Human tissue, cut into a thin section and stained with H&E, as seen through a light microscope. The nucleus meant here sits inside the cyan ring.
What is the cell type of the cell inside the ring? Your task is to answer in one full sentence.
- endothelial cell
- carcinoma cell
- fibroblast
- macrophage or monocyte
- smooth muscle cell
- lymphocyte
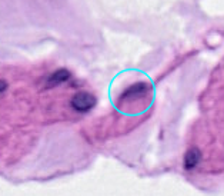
Just put down that the cell inside the ring is a smooth muscle cell.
